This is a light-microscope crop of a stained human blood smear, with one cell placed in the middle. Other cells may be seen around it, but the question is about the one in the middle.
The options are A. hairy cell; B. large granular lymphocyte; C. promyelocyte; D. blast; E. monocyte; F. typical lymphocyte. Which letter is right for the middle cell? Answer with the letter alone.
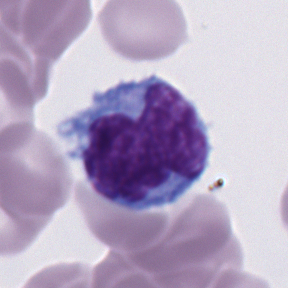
E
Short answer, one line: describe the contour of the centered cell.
Because its outline is ragged or drawn out into projections, the cell lacks a smooth border.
